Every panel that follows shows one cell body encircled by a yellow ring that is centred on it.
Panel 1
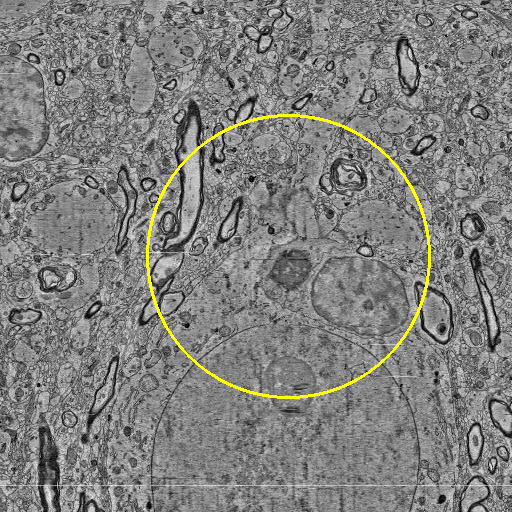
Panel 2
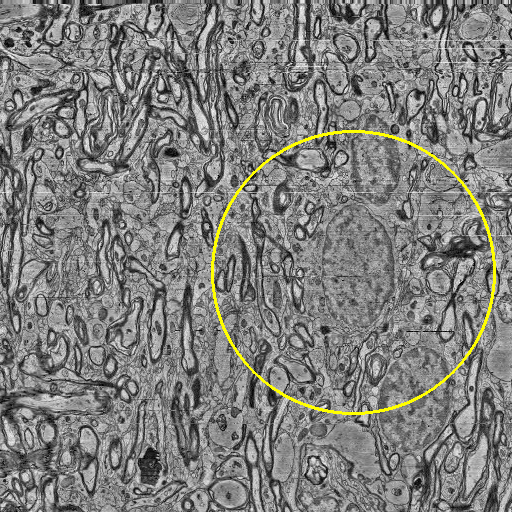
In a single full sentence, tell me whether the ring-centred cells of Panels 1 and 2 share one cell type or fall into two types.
In Panel 1 and Panel 2, the cells at the ring centres share one cell type.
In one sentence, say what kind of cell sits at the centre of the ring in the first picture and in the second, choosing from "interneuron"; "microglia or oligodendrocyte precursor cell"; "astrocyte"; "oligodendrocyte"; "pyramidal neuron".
In both pictures the ring is centred on an oligodendrocyte.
